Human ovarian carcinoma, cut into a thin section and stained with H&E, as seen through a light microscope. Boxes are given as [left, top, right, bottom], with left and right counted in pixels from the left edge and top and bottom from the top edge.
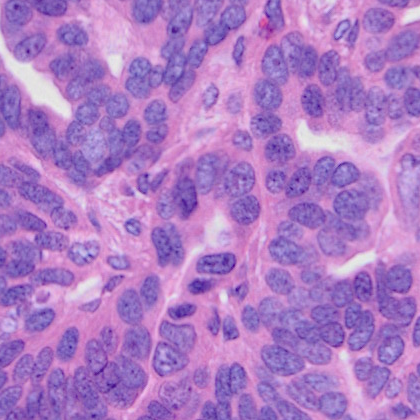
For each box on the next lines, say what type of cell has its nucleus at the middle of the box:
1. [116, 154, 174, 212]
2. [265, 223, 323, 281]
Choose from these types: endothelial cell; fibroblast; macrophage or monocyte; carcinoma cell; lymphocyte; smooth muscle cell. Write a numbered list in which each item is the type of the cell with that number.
1. fibroblast
2. carcinoma cell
